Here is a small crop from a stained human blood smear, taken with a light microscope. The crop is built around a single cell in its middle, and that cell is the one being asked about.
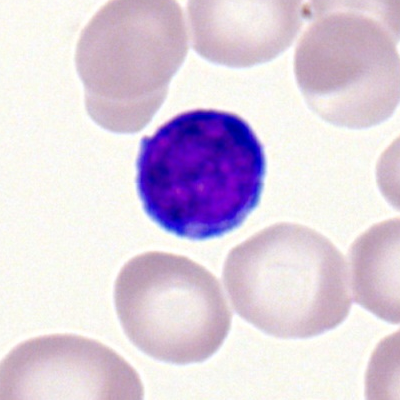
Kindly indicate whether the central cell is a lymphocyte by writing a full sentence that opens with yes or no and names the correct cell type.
Yes, the cell in the center of the field is a lymphocyte.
